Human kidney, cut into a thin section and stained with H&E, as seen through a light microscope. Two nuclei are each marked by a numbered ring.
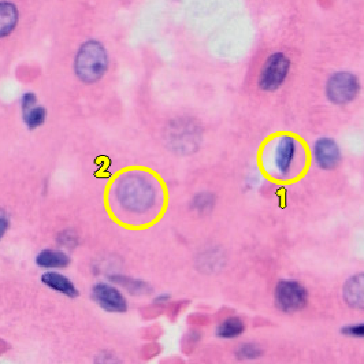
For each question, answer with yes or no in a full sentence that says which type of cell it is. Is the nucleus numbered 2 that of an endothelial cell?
No, the cell given the number 2 is a proximal tubule cell, so not an endothelial cell.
